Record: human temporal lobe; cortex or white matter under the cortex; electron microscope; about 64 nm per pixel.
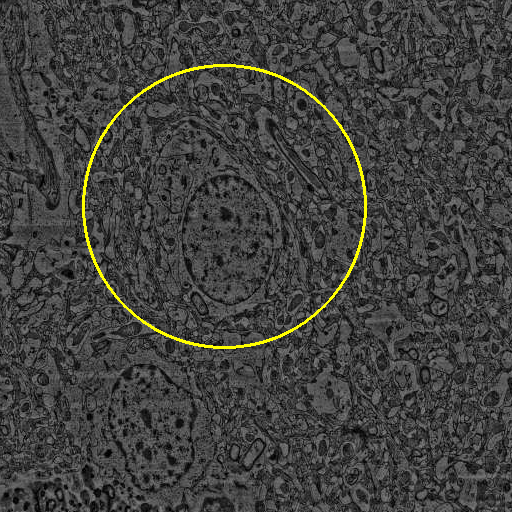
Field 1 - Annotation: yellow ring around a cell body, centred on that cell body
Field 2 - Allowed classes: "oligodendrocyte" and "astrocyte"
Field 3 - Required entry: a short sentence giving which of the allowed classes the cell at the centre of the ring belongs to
The centred cell is an astrocyte.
